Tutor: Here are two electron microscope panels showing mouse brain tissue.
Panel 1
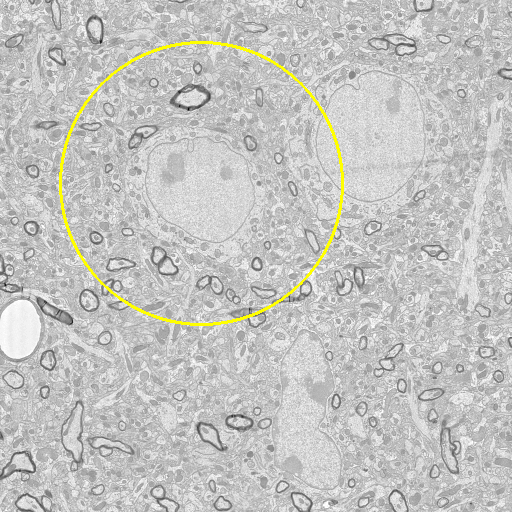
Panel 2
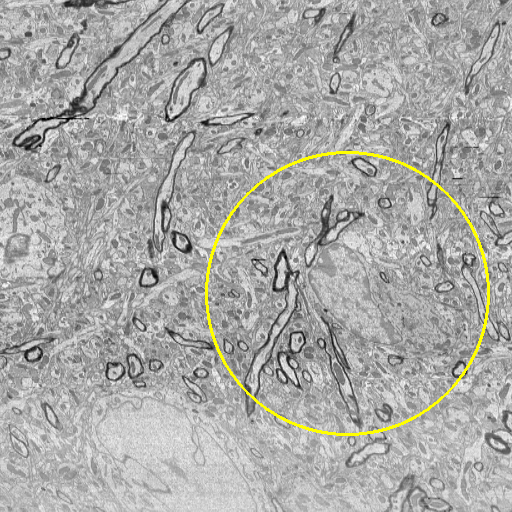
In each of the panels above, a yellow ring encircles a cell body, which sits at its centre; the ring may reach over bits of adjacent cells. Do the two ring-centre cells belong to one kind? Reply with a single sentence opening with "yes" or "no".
No, the two cells sitting at the ring centres in the panels belong to two kinds.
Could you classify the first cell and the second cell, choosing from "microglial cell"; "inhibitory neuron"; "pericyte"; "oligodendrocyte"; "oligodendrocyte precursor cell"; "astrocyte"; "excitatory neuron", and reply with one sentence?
The second cell is an oligodendrocyte, while the first is an excitatory neuron.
